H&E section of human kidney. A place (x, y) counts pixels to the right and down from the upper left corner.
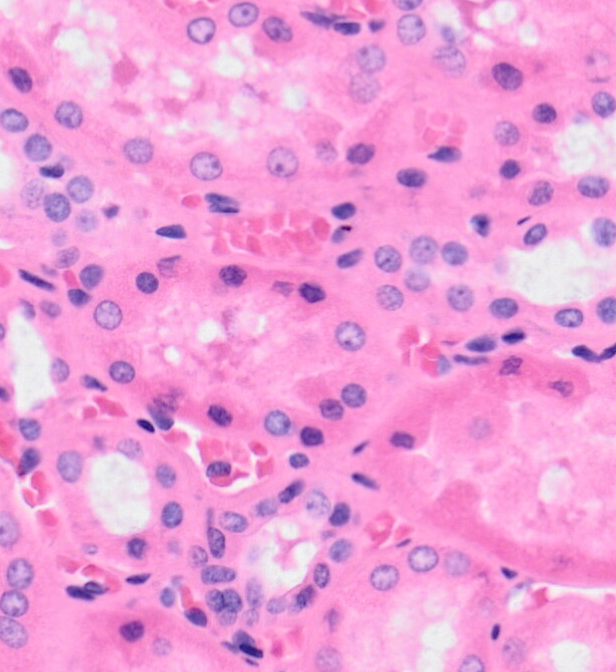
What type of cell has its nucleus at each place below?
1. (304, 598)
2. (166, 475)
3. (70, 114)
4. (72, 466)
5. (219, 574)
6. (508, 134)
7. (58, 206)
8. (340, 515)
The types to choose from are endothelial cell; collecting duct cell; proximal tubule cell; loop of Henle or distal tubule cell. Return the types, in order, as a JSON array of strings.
["collecting duct cell", "loop of Henle or distal tubule cell", "proximal tubule cell", "loop of Henle or distal tubule cell", "collecting duct cell", "loop of Henle or distal tubule cell", "collecting duct cell", "collecting duct cell"]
